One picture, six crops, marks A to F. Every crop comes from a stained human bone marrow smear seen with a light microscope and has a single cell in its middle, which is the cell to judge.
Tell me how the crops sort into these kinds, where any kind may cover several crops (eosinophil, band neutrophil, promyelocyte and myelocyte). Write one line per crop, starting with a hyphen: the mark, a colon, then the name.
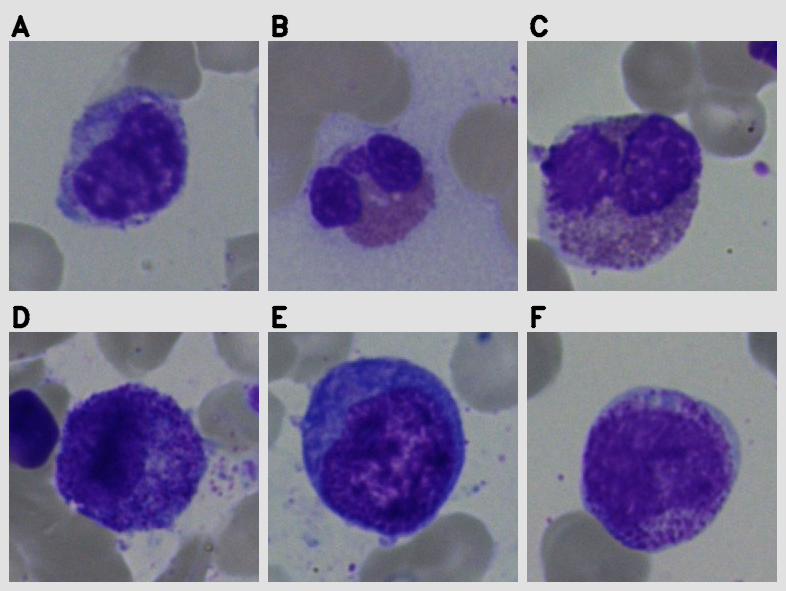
- A: myelocyte
- B: eosinophil
- C: eosinophil
- D: promyelocyte
- E: promyelocyte
- F: myelocyte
